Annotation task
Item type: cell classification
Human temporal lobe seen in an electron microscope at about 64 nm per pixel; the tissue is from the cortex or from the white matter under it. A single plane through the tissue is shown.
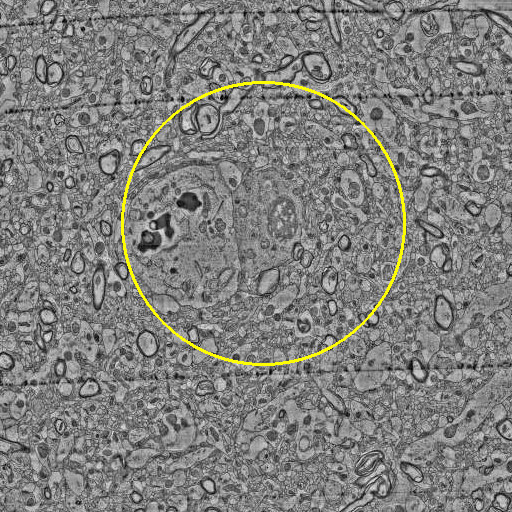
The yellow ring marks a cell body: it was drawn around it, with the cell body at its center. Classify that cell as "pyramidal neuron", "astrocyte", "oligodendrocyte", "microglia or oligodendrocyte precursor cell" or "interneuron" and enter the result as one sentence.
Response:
The ring's center falls on an oligodendrocyte.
